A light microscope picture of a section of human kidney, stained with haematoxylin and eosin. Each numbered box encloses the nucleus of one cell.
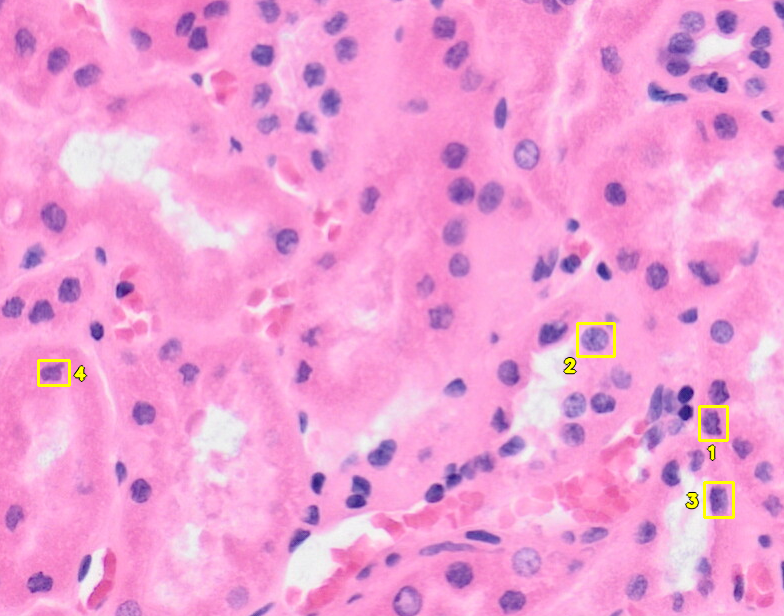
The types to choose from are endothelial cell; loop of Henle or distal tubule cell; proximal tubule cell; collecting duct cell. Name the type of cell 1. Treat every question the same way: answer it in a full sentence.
That cell with number 1 is a proximal tubule cell.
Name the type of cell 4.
The cell with the number 4 is a proximal tubule cell.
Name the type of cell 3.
Heads up, the cell numbered 3 is a loop of Henle or distal tubule cell.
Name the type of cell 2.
Identified by the number 2, the cell is a loop of Henle or distal tubule cell.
